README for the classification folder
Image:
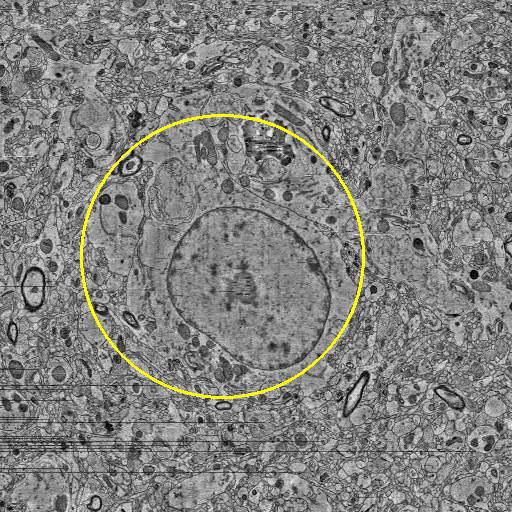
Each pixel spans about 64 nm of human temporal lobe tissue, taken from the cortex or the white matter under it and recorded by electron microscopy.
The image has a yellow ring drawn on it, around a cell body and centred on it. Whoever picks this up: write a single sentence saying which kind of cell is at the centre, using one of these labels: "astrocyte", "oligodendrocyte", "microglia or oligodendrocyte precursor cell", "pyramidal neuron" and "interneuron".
This cell body is that of an astrocyte.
